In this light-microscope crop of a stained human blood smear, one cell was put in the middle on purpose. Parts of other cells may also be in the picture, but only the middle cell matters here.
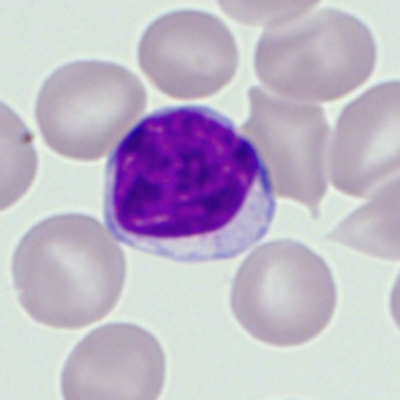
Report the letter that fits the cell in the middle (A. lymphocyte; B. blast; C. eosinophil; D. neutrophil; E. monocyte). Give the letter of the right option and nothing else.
A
